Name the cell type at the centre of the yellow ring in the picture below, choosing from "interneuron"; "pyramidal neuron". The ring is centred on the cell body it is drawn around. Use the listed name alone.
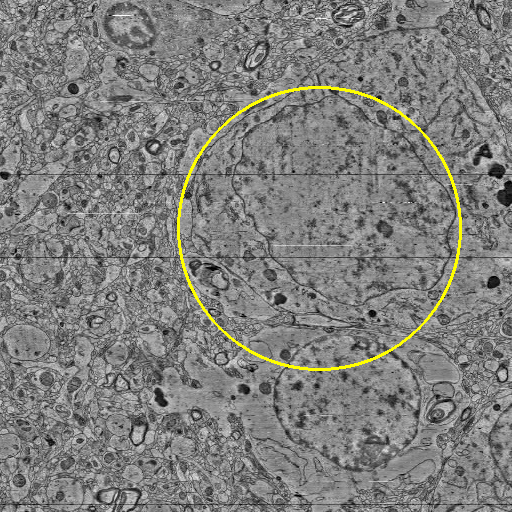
pyramidal neuron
